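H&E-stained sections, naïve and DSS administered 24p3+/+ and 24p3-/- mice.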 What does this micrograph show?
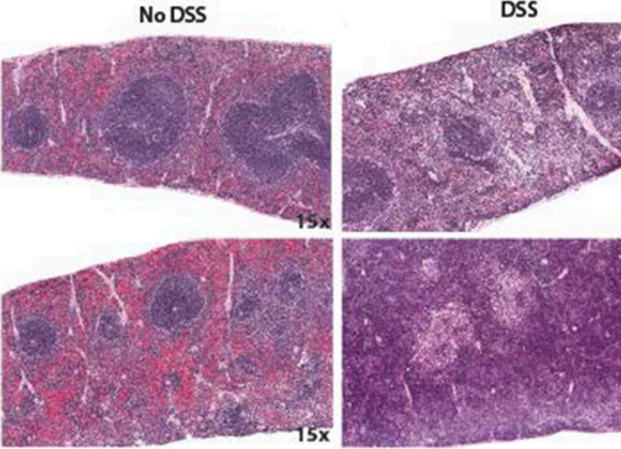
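Four low-magnification fields of splenic tissue show white pulp and red pulp. In two fields the white pulp forms distinct round to oval nodules of densely packed, dark-purple lymphocytes, sharply set off from surrounding red pulp that is pink-red and rich in blood. Thin pale trabeculae and small vessels run through the tissue. In the other two fields the tissue is more uniformly purple, with densely cellular red pulp that has little pink colour, and the nodules of white pulp are smaller, paler or less clearly bounded, some appearing as lighter patches within the crowded tissue.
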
